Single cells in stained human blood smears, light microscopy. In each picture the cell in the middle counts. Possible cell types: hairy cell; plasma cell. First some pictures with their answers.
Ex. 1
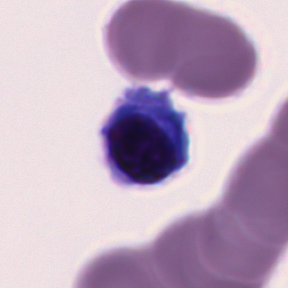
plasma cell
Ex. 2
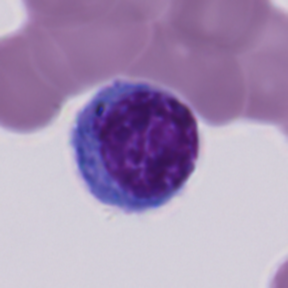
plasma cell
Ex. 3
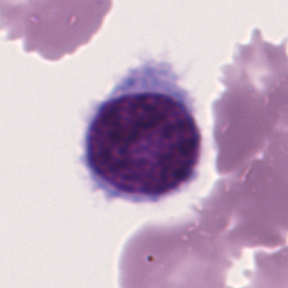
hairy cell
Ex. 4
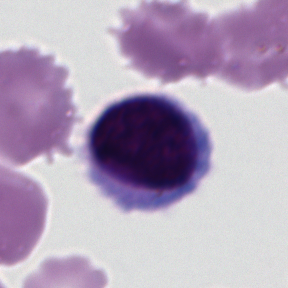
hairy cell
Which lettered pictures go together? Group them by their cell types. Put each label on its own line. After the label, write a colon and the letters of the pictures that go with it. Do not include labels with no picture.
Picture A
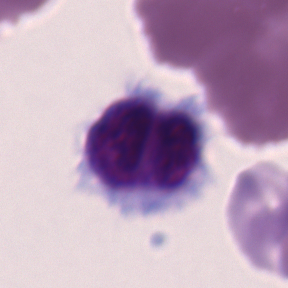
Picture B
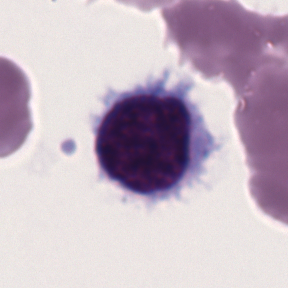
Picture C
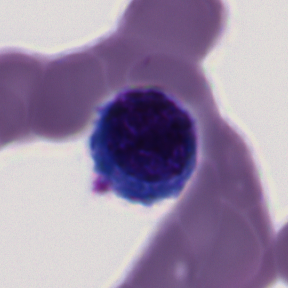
hairy cell: A, B
plasma cell: C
